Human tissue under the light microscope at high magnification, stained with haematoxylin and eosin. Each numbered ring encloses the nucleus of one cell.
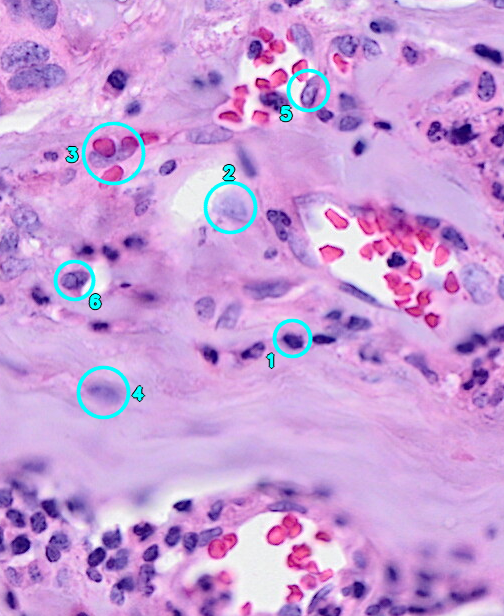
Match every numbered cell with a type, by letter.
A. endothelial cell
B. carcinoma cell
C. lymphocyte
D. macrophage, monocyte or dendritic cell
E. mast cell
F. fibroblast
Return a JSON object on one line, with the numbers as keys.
{"1": "C", "2": "F", "3": "A", "4": "F", "5": "A", "6": "E"}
